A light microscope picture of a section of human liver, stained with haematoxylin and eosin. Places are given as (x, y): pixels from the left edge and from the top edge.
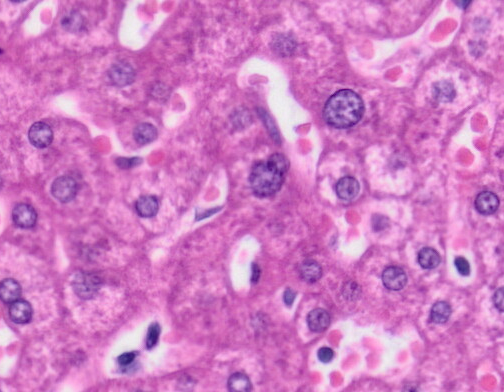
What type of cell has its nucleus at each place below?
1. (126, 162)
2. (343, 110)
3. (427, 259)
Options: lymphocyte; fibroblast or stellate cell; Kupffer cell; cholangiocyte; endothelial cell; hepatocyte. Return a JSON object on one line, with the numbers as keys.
{"1": "Kupffer cell", "2": "hepatocyte", "3": "hepatocyte"}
